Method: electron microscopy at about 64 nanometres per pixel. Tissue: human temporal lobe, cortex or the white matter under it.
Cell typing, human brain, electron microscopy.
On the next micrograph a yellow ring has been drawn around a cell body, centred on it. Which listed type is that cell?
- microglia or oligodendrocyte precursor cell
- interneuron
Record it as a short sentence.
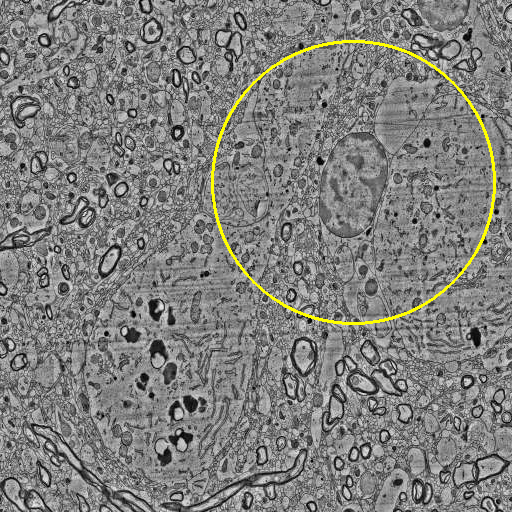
The cell body in the ring's centre belongs to a microglial cell or oligodendrocyte precursor cell.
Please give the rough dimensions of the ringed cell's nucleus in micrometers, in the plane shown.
About 7 by 4 micrometres, the nucleus being clearly longer than it is wide in this plane.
